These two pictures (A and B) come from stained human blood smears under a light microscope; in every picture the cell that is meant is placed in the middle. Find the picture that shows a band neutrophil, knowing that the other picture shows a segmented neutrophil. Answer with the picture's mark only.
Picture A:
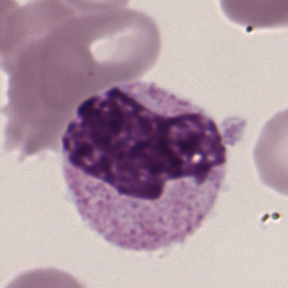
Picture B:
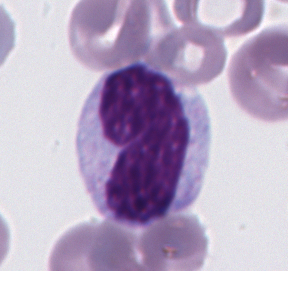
B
